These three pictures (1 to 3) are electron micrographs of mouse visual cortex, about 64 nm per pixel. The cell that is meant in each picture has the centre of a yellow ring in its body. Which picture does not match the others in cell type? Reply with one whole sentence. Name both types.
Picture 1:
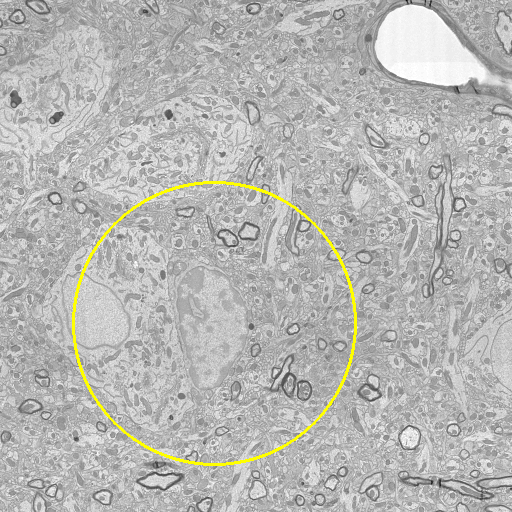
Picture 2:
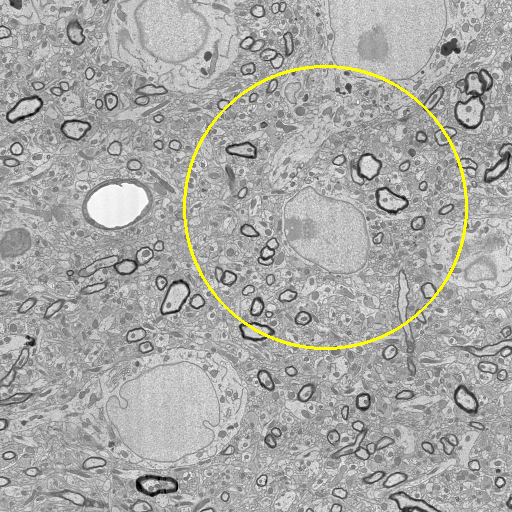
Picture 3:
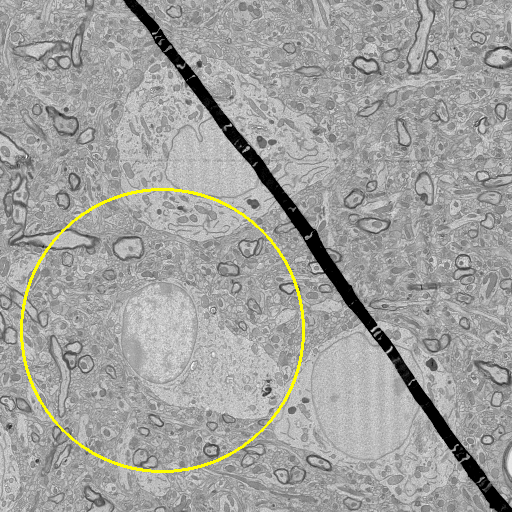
Unlike the rest, which show oligodendrocytes, picture 2 shows an oligodendrocyte precursor cell.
